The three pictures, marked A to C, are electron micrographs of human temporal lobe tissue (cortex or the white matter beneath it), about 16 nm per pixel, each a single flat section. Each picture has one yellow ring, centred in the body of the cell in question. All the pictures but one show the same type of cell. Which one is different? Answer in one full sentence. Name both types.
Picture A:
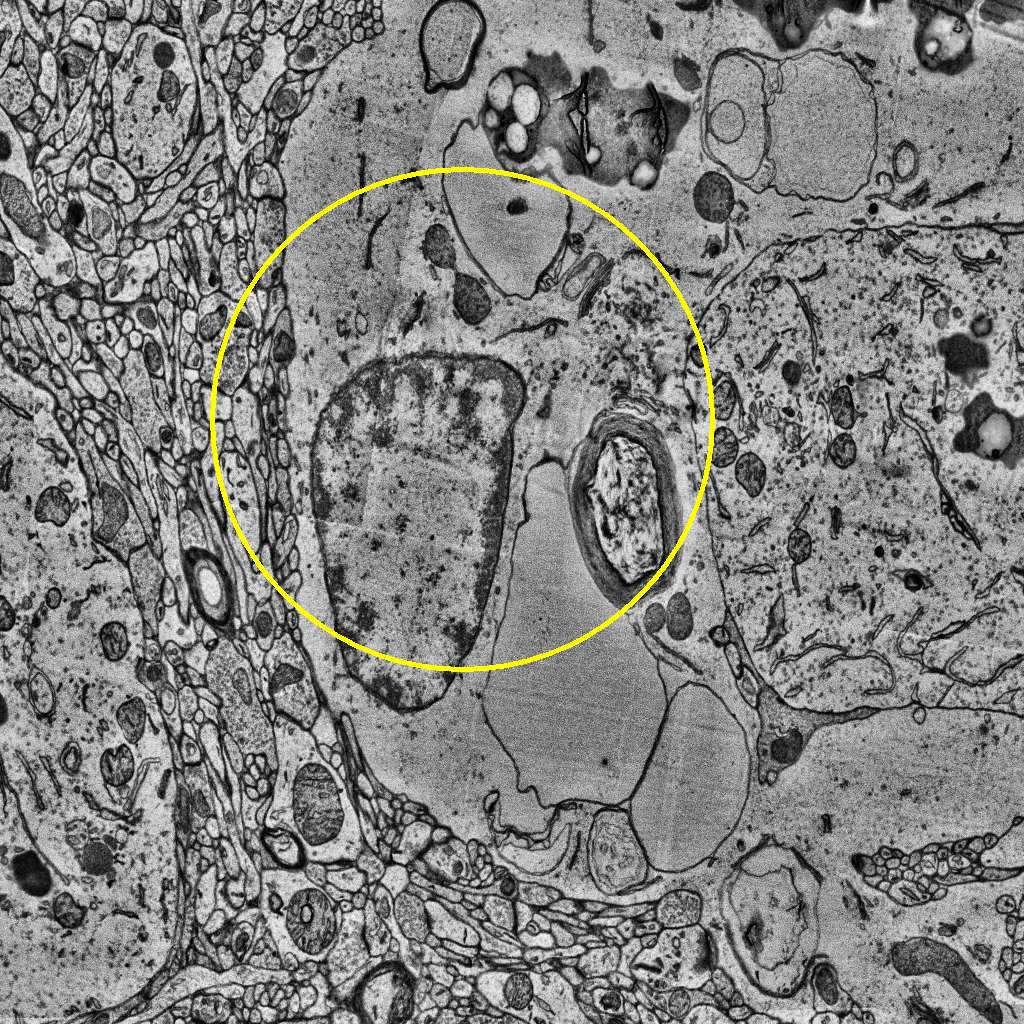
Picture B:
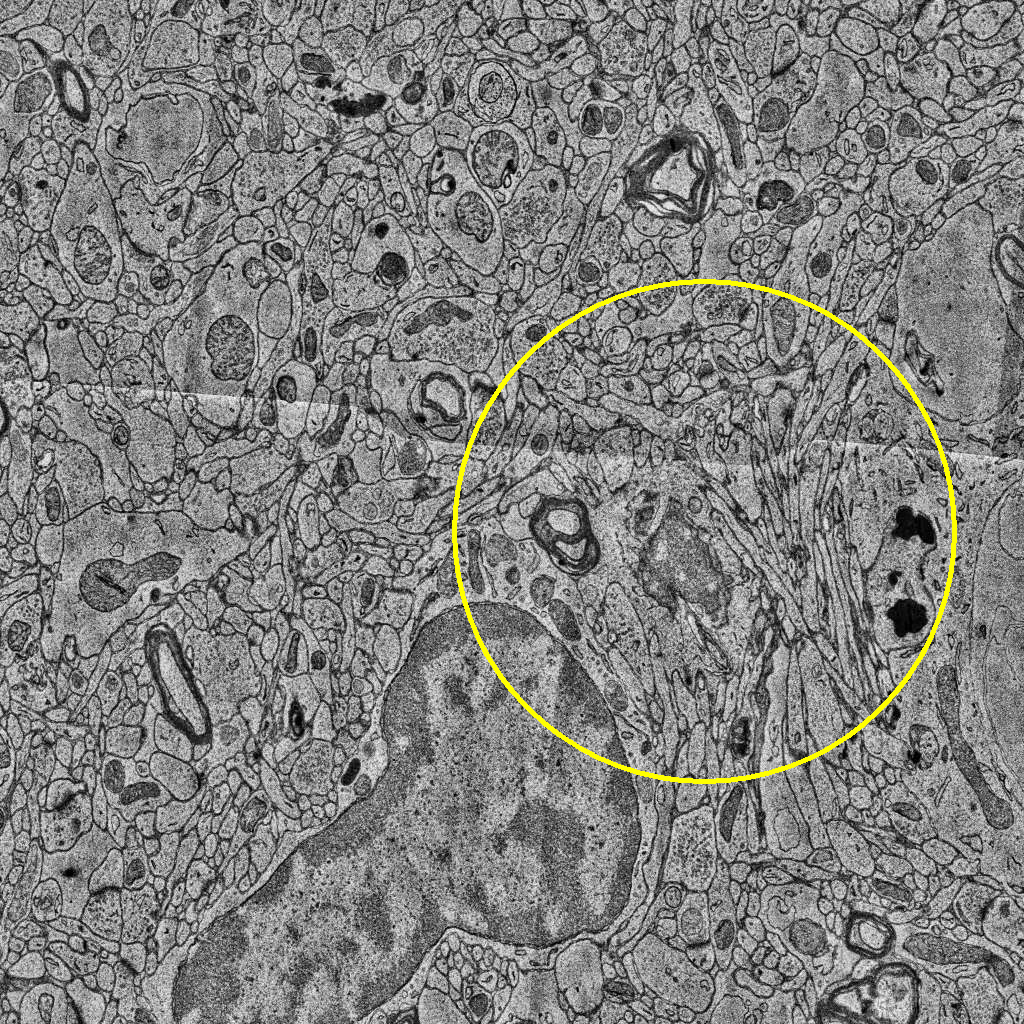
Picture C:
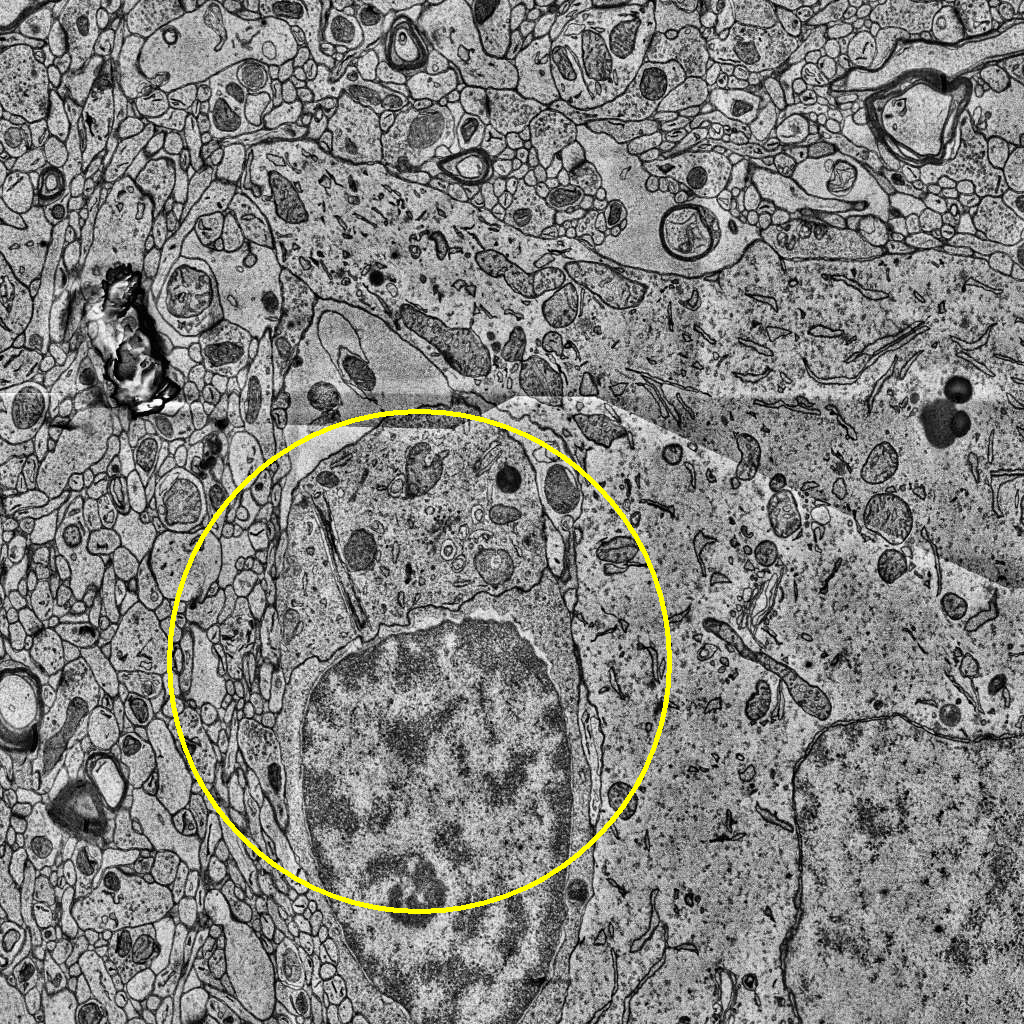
Unlike the rest, which show oligodendrocytes, picture A shows an astrocyte.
